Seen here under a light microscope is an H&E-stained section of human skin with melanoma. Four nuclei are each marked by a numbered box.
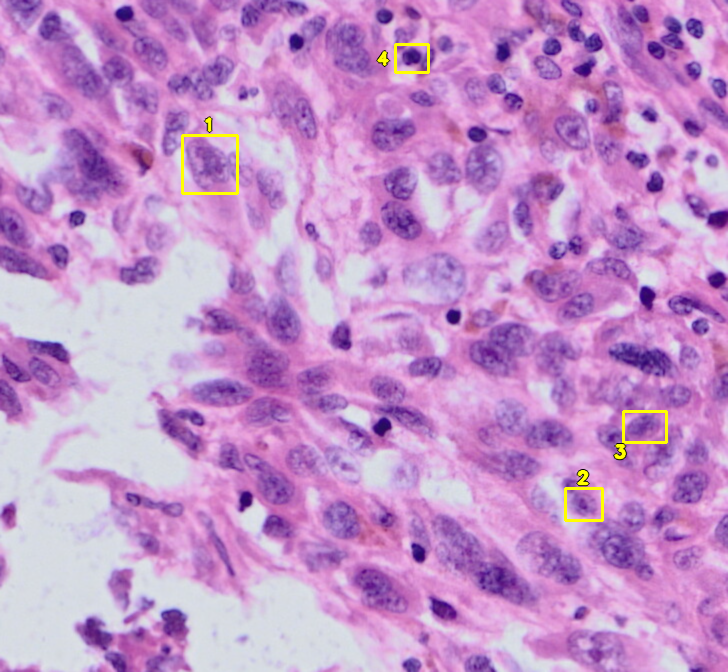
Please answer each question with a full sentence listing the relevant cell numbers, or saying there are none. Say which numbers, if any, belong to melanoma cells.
The cells labelled 1, 2 and 3 in this section are melanoma cells.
